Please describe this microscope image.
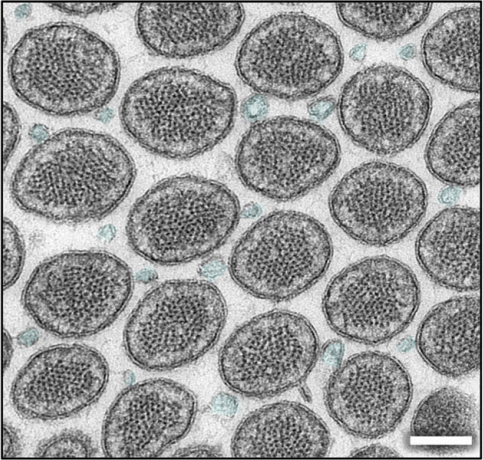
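An en face section through the apical tuft of a tuft cell, with its protrusions cut across. Each protrusion is round to oval, bounded by a membrane and filled with densely packed dots, the filaments of its core cut end-on. Small vesicles, tinted cyan, lie in the narrow spaces between the protrusions.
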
